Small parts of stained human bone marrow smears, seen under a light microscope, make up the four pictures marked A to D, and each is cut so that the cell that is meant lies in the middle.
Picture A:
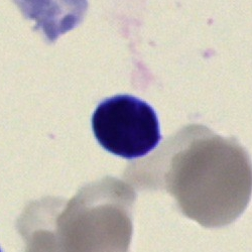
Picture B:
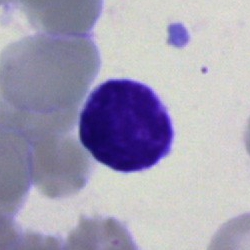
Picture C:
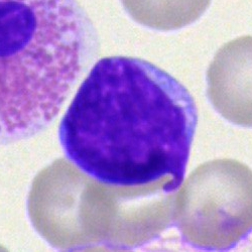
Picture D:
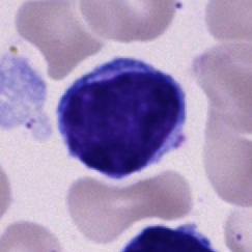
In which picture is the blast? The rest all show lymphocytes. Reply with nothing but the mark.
C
